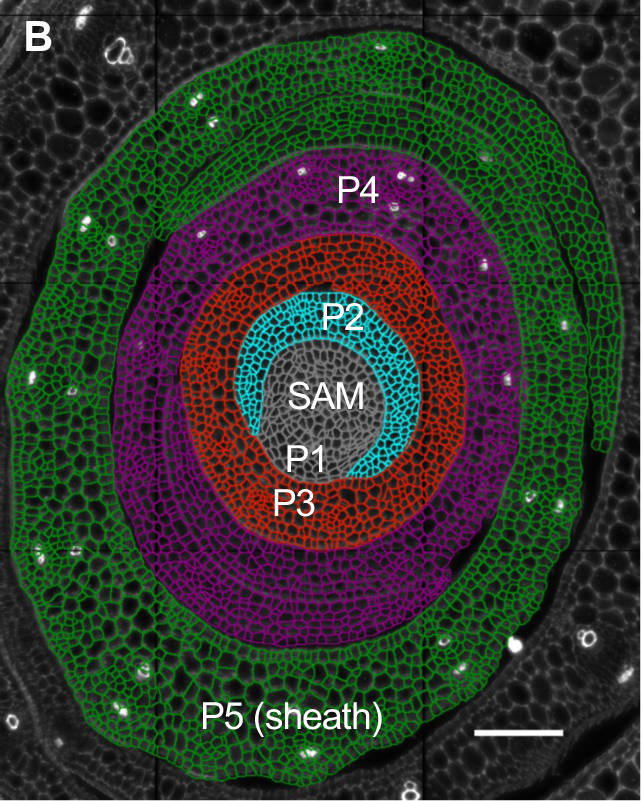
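A central disc of small, tightly packed cells is surrounded by concentric rings of tissue, each ring an encircling young leaf, and the rings become wider with larger, more varied cells toward the outside. Scattered bright dots in the outer rings sit within small groups of cells.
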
